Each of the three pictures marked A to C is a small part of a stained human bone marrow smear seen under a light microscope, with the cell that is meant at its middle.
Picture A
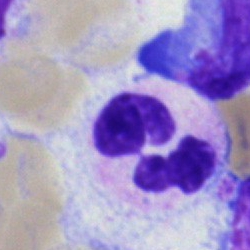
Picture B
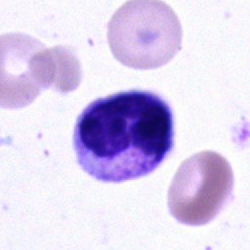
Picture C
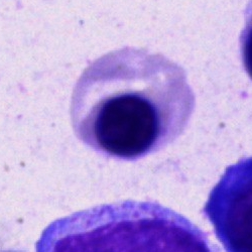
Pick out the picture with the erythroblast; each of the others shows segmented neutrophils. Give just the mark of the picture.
C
